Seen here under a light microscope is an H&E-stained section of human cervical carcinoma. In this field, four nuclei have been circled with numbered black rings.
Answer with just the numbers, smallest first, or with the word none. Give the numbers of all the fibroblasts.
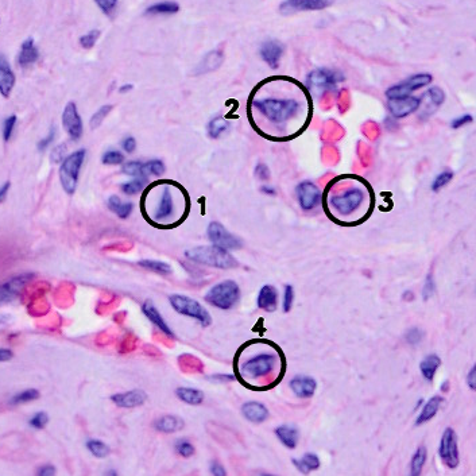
1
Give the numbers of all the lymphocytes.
none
